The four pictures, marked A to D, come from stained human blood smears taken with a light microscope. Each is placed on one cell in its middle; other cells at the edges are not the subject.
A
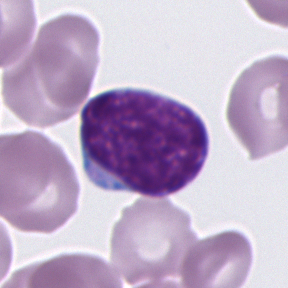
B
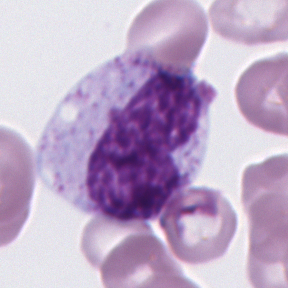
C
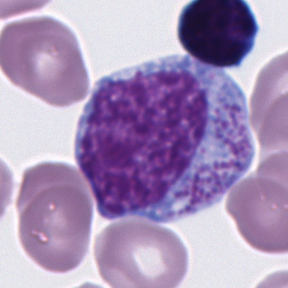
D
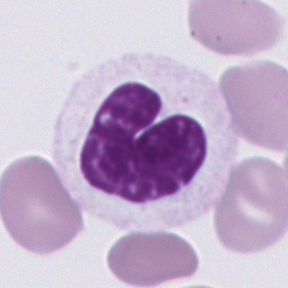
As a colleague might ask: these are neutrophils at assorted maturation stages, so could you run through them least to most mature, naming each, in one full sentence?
Proceeding from least to most mature, the order is crop A (a blast), crop C (a promyelocyte), crop B (a metamyelocyte) and crop D (a band neutrophil).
